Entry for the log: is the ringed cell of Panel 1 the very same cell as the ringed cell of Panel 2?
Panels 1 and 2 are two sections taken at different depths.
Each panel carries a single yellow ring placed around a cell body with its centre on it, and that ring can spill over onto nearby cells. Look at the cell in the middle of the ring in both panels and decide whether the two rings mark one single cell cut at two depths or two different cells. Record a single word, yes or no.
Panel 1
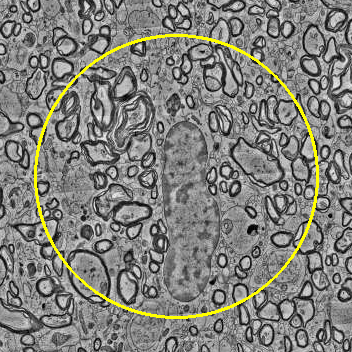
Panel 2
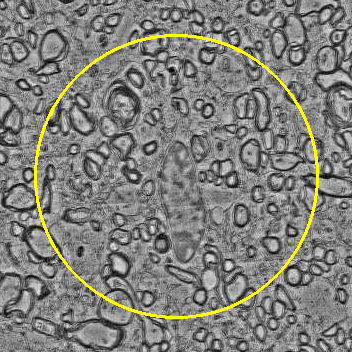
yes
